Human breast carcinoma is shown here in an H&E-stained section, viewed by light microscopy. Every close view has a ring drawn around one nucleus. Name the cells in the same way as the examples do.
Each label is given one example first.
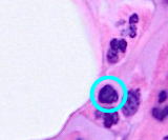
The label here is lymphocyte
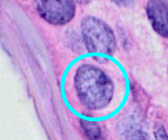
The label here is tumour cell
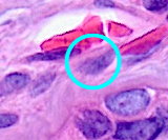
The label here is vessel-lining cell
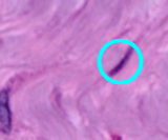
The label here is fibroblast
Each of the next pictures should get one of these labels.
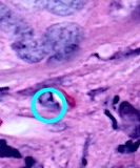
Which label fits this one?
vessel-lining cell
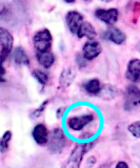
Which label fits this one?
lymphocyte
